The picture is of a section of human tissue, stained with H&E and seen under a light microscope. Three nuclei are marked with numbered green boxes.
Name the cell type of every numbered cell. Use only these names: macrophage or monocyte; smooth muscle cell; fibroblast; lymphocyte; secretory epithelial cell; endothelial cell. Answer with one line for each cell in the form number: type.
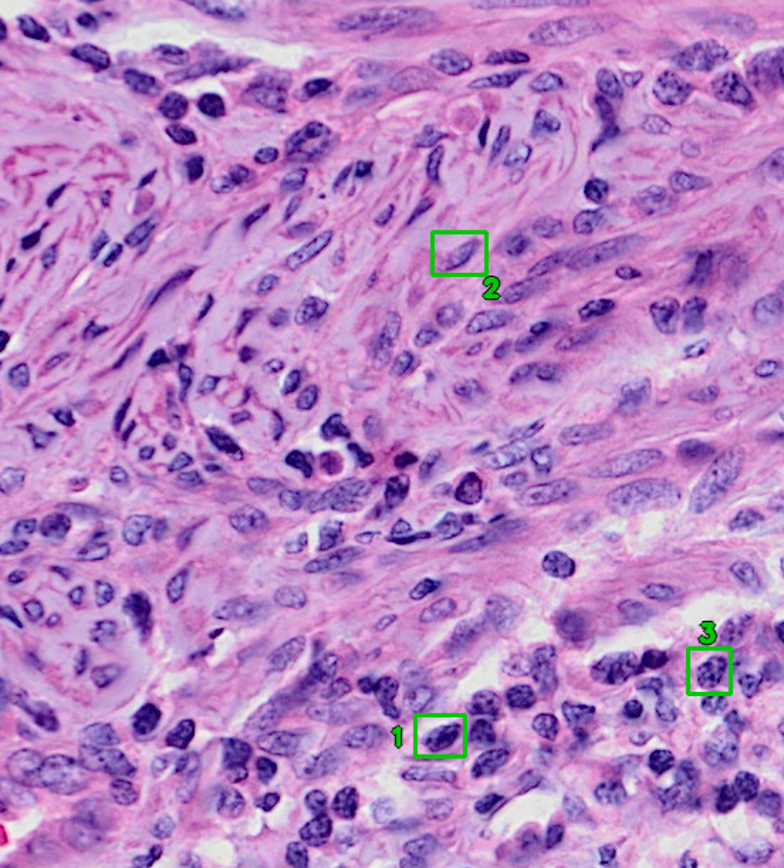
1: lymphocyte
2: smooth muscle cell
3: lymphocyte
